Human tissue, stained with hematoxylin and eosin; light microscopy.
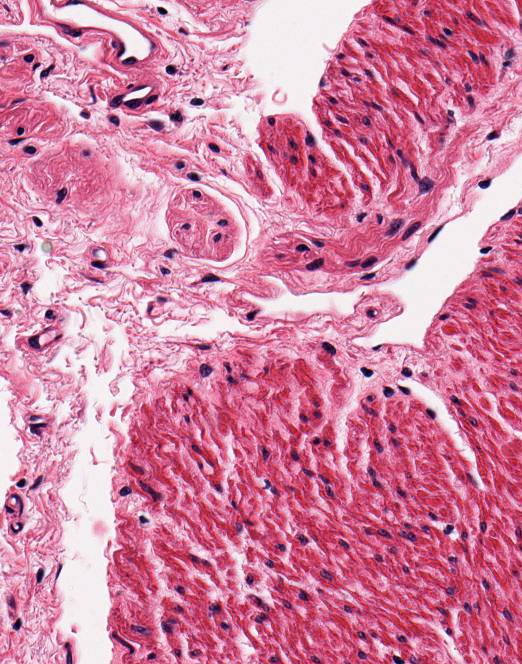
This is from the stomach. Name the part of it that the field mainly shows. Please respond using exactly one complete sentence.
The tissue part in this image has the name smooth muscle.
